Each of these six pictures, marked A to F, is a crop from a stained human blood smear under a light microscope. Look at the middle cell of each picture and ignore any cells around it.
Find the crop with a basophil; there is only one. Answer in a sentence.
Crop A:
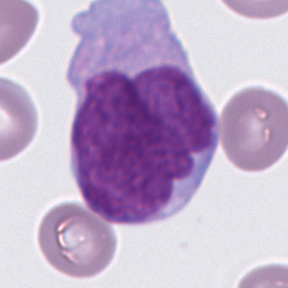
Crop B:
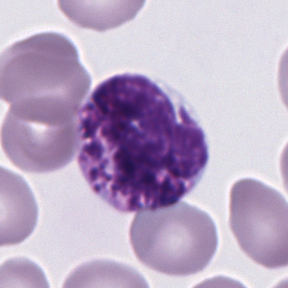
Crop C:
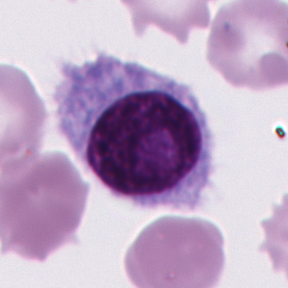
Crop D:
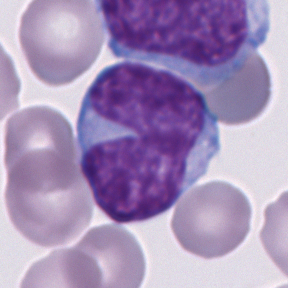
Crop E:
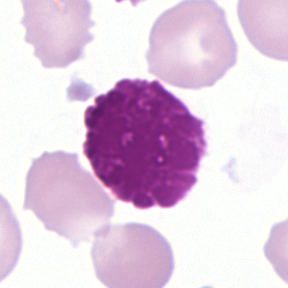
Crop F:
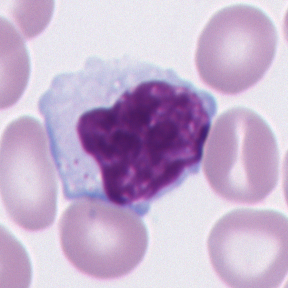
It is the cell in crop B that is a basophil.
